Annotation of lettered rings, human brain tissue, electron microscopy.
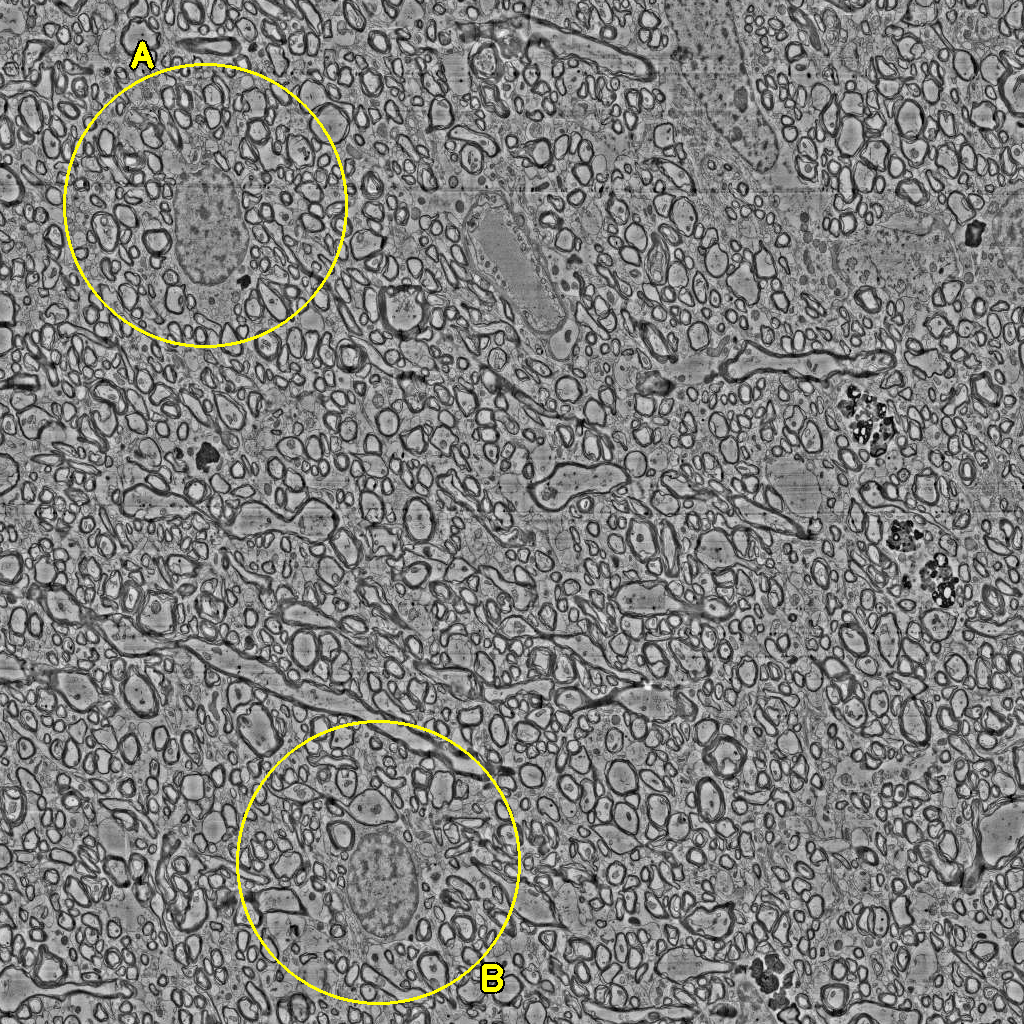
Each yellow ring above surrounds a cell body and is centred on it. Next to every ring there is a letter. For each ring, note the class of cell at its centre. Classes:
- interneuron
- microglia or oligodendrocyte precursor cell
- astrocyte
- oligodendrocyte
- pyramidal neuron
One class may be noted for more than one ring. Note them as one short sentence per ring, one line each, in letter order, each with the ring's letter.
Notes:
The class noted at ring A is an oligodendrocyte.
The class noted at ring B is an oligodendrocyte.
